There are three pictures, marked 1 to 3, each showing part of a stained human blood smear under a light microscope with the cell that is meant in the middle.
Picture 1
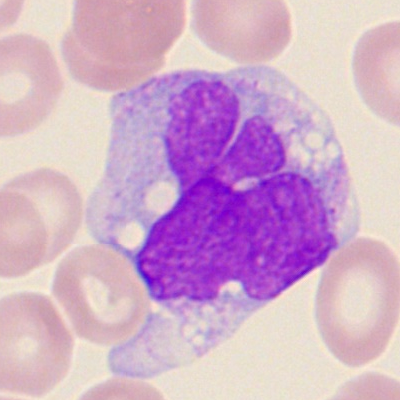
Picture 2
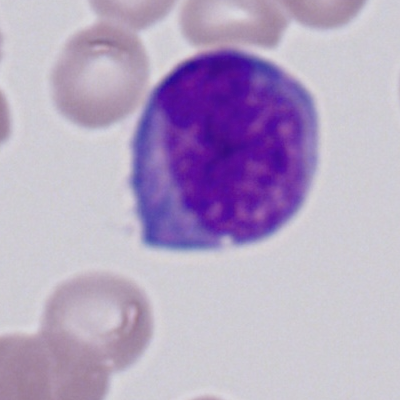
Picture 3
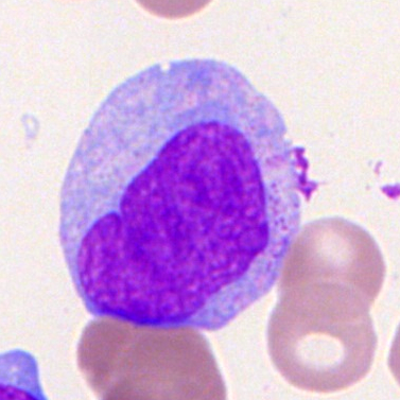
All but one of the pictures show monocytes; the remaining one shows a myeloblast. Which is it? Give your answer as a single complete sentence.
The picture with the myeloblast is 2.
